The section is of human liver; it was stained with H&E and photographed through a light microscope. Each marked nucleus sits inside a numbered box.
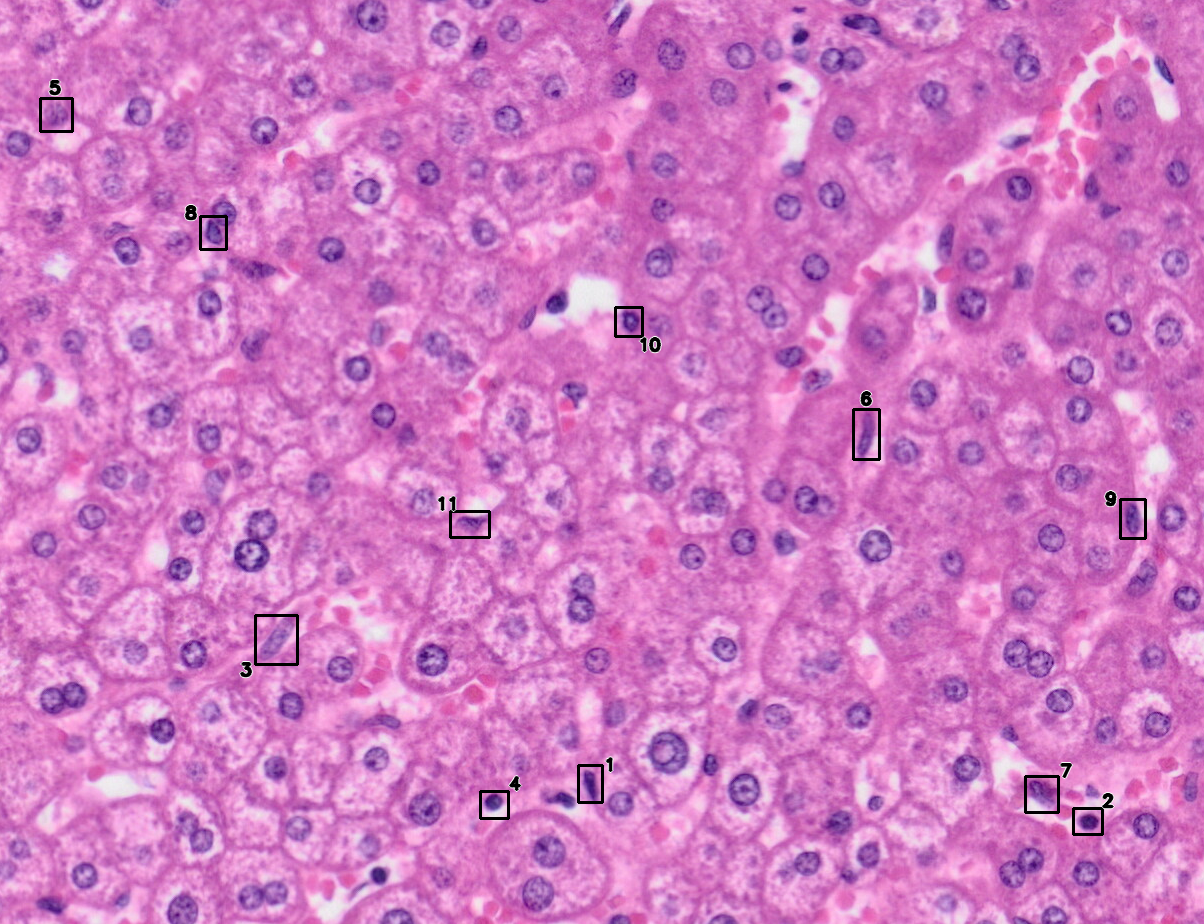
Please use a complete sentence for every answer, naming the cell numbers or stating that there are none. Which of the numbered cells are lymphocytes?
The cells given the numbers 2 and 4 are lymphocytes.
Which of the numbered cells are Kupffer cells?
The cells that the numbers 3, 6 and 7 belong to are Kupffer cells.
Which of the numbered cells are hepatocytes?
Only number 5 is a hepatocyte; none of the others are.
